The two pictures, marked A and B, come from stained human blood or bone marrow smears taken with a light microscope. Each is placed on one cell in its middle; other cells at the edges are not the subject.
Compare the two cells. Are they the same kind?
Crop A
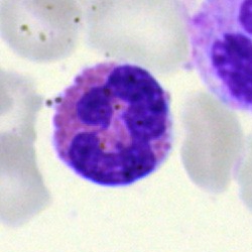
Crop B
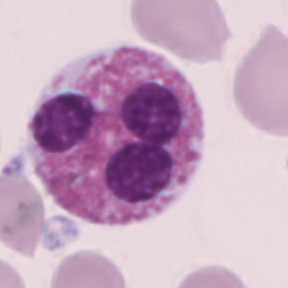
yes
